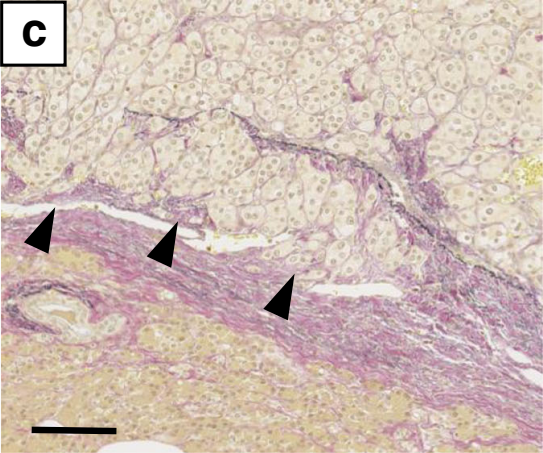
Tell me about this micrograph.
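Pale tumor tissue in the upper half meets yellow-tinted tissue in the lower half across a diagonal fibrous capsule. The capsule is a band of pink-red collagen with dark wavy elastic fibres. Tumor cells with clear cytoplasm and small round nuclei lie in nests above and along the capsule. A small vessel with a dark elastic wall sits at the lower left of the band.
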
